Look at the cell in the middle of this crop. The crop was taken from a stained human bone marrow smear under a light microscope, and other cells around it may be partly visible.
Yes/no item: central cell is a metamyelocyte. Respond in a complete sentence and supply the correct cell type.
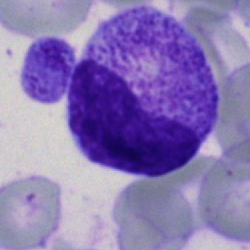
Yes, the centrally placed cell is a metamyelocyte.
